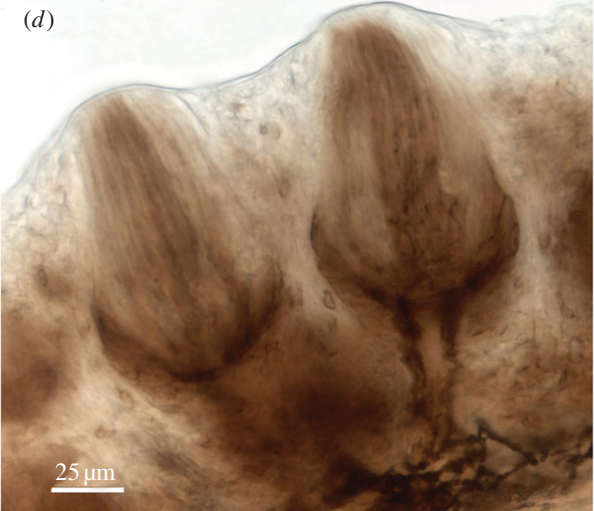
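Two large pear-shaped bodies of long, parallel, brown-stained cells reach up to the epithelial surface, where the surface bulges over their tips. Beneath the right-hand body, stained strands run down into a dark, branching network in the tissue below. These are taste buds with their stained basal areas and incoming nerve bundles.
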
